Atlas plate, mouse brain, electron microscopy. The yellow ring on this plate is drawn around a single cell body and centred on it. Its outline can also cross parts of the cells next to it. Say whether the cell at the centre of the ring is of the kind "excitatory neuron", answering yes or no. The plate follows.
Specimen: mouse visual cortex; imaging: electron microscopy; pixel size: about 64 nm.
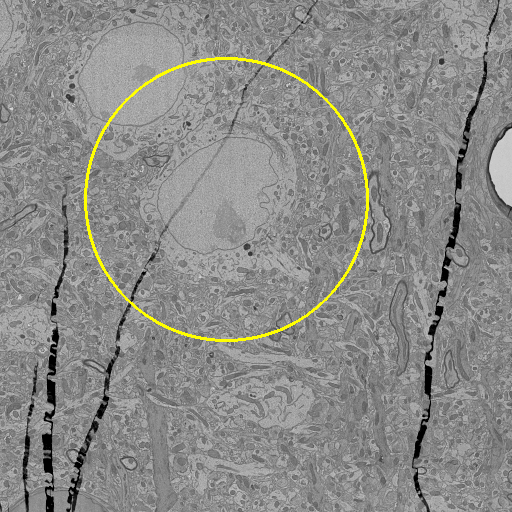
Yes, the cell is of that kind.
